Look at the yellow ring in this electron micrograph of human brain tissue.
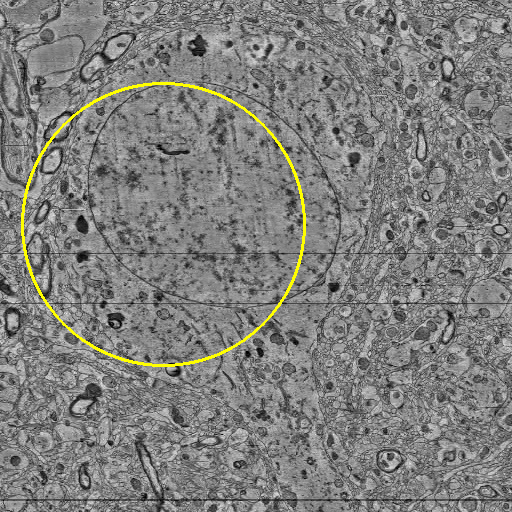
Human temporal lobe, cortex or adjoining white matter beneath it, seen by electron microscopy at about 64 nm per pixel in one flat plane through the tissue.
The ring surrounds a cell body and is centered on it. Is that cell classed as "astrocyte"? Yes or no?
No, it is of another kind.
